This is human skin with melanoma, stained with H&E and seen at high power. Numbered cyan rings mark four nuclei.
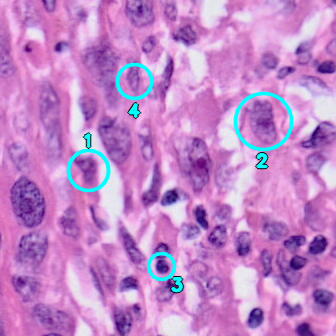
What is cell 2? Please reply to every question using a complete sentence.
In this section, number 2 marks a melanoma cell.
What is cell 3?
Of the numbered cells, the one labelled 3 is a lymphocyte.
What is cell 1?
In this section, number 1 marks a melanoma cell.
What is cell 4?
The cell marked with the number 4 is a melanoma cell.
